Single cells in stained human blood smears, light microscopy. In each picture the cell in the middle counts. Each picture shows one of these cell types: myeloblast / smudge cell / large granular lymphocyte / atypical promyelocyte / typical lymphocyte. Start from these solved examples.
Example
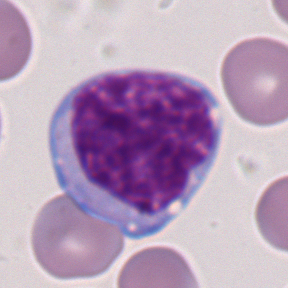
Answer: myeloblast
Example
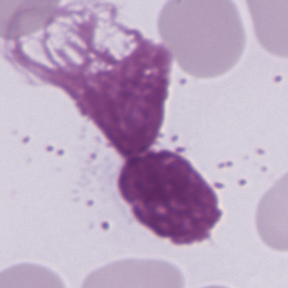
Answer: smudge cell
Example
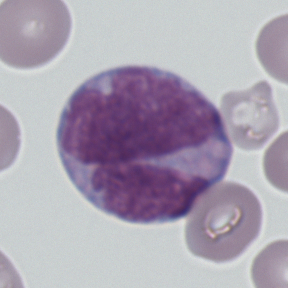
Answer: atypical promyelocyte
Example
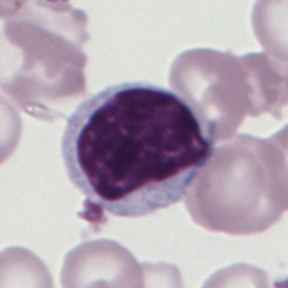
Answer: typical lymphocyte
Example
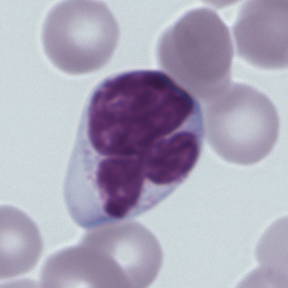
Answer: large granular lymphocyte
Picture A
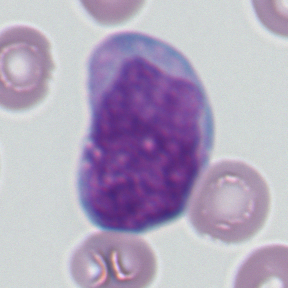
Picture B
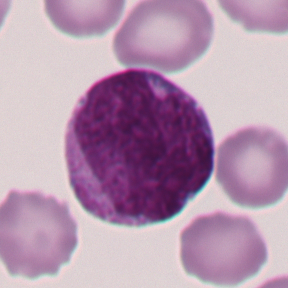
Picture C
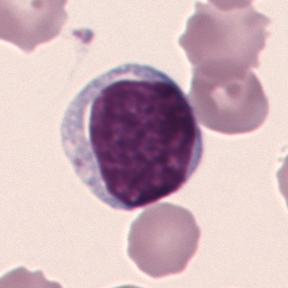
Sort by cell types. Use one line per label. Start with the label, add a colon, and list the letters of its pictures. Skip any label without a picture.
myeloblast: B
atypical promyelocyte: A
typical lymphocyte: C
